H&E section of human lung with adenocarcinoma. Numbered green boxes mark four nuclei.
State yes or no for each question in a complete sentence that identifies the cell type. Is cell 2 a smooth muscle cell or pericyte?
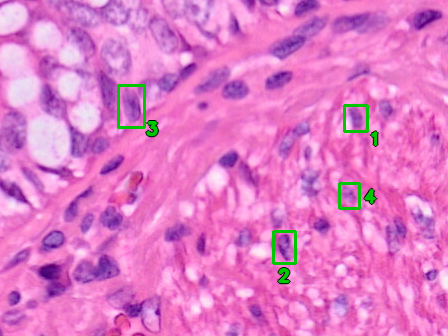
No, the cell bearing the number 2 is a mast cell, not a smooth muscle cell or pericyte.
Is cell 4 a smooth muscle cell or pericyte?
Yes, the cell at number 4 is a smooth muscle cell or pericyte.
